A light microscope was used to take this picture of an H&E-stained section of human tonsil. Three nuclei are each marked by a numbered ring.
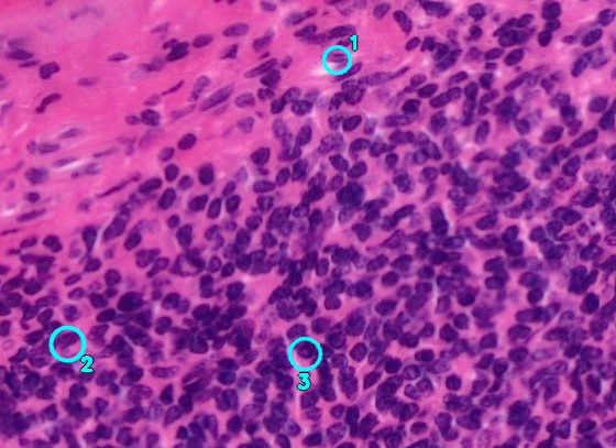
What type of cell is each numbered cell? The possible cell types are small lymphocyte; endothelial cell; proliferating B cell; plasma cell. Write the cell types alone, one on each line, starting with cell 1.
endothelial cell
small lymphocyte
small lymphocyte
